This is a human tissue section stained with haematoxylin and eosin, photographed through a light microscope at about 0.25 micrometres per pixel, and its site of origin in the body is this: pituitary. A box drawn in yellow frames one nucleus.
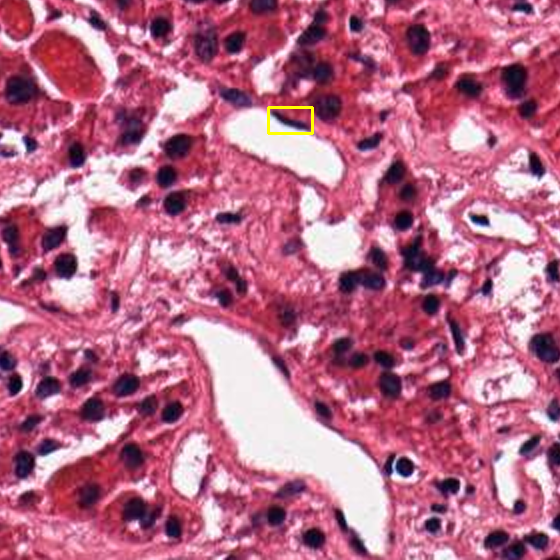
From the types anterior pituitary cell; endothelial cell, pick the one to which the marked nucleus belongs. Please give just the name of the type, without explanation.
endothelial cell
